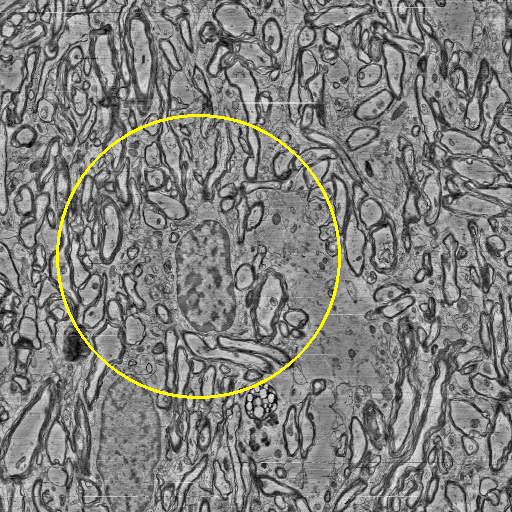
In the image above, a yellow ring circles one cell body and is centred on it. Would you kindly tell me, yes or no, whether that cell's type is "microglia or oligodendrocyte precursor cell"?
yes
